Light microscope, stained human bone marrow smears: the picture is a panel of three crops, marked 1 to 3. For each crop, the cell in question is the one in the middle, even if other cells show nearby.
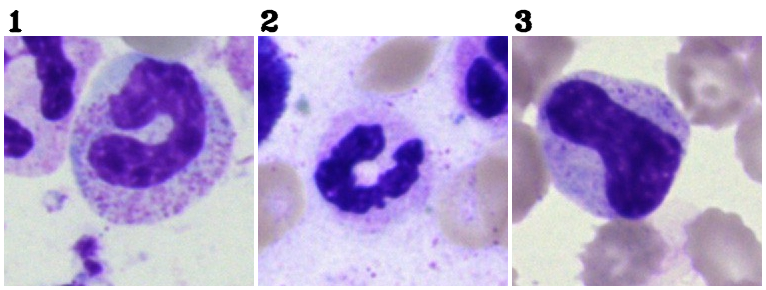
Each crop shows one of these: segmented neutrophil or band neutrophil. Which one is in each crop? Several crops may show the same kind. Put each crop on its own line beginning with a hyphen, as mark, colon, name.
- 1: band neutrophil
- 2: segmented neutrophil
- 3: band neutrophil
